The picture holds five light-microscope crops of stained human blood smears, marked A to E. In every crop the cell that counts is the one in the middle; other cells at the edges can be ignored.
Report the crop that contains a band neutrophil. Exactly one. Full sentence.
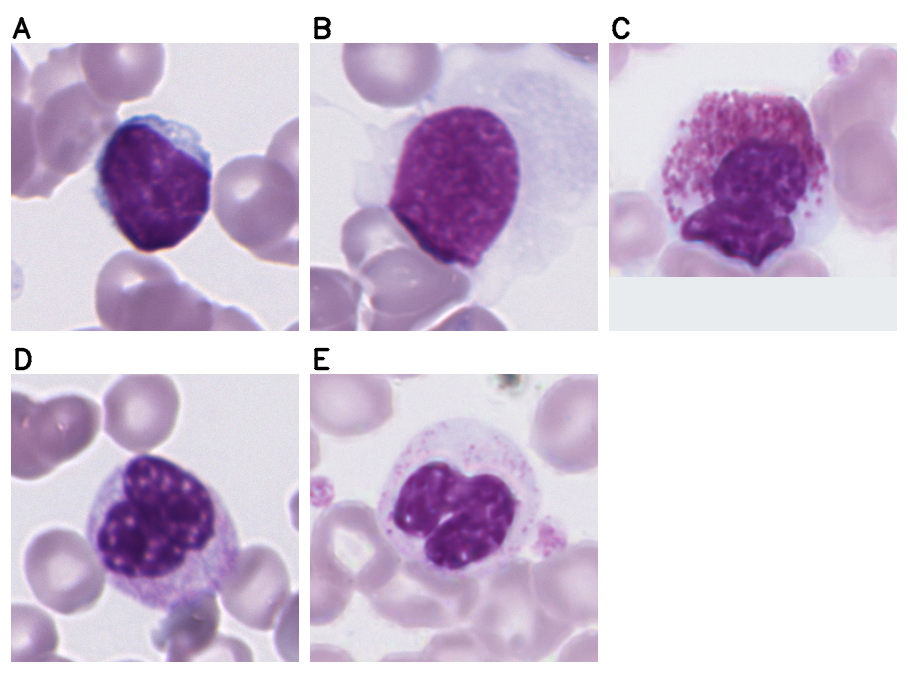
Crop E is the crop in which a band neutrophil is shown.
